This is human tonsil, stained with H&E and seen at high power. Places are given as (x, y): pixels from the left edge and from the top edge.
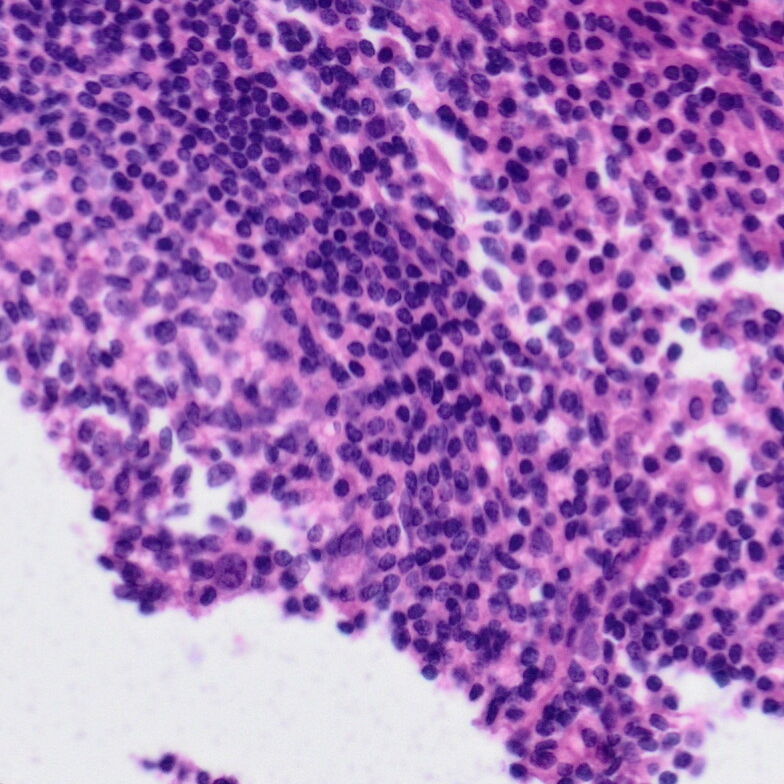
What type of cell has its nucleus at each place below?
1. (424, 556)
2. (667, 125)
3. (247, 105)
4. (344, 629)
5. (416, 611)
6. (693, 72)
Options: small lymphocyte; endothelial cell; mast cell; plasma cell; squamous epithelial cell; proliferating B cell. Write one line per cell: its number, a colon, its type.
1: small lymphocyte
2: plasma cell
3: small lymphocyte
4: small lymphocyte
5: small lymphocyte
6: plasma cell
